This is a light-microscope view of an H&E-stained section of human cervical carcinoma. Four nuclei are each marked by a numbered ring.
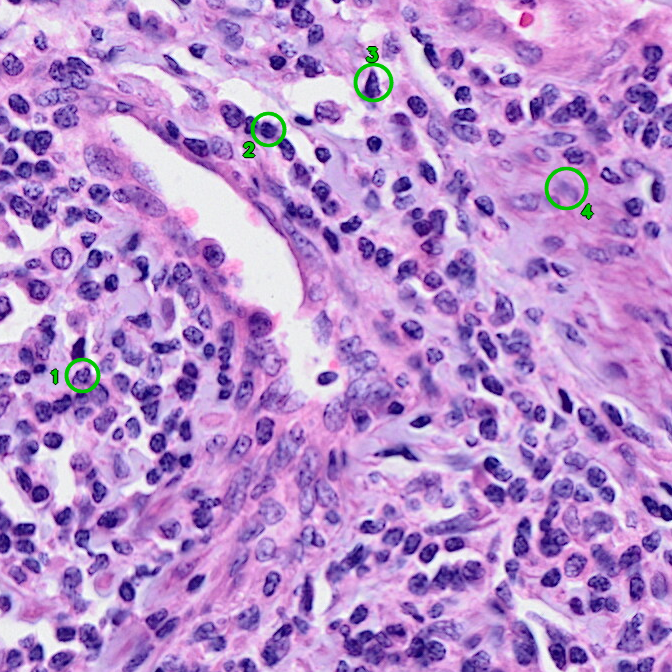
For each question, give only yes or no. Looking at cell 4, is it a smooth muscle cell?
yes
